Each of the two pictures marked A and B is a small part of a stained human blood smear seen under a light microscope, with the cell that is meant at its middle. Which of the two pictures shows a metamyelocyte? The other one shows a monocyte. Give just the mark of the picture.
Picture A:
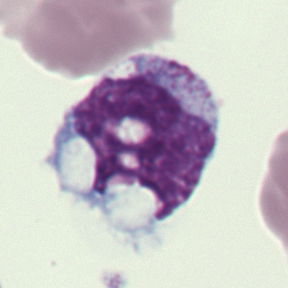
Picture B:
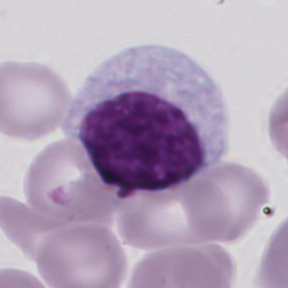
B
